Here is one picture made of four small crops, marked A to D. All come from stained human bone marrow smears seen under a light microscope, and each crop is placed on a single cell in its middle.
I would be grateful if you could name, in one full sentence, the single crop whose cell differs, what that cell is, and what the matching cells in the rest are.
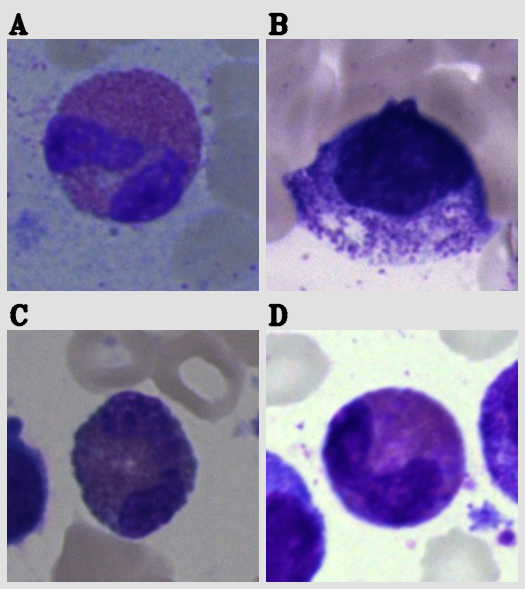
Of the crops, all show eosinophils save crop B, which shows a promyelocyte.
